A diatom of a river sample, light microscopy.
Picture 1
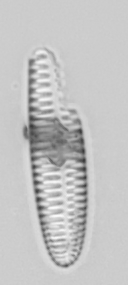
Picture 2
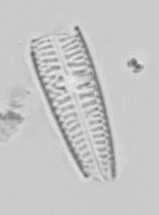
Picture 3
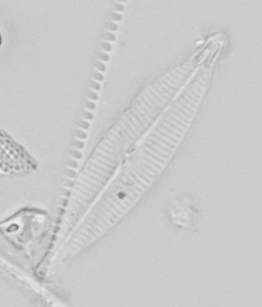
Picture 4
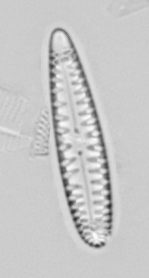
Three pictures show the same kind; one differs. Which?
Picture 3: Navicula, while the others are Rhoicosphenia.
